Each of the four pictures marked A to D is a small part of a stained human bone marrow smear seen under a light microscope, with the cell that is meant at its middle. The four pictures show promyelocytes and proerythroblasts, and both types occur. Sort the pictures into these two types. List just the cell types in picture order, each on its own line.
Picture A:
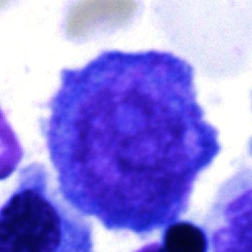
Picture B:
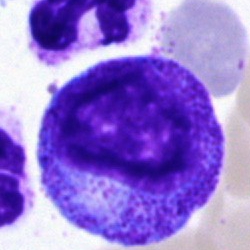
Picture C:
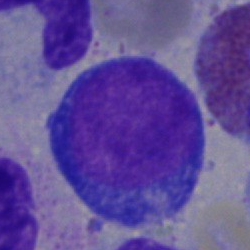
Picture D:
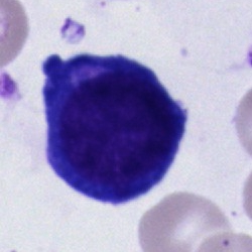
promyelocyte
promyelocyte
proerythroblast
proerythroblast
